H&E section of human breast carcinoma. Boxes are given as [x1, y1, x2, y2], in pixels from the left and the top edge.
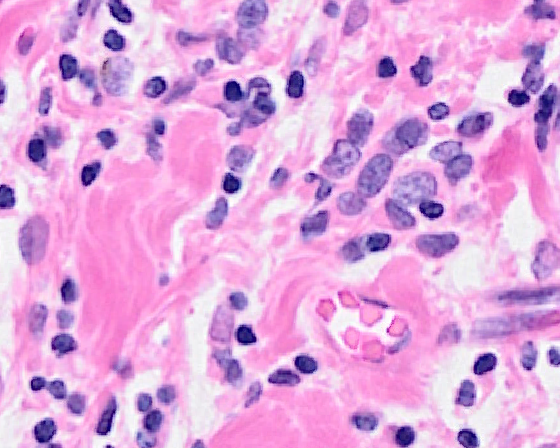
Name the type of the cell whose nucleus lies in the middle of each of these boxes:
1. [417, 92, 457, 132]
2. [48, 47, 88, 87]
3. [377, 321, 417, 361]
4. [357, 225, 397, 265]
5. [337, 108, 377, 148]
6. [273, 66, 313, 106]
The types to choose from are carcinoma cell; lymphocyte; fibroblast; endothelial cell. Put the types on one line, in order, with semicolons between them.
lymphocyte; lymphocyte; endothelial cell; lymphocyte; carcinoma cell; lymphocyte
